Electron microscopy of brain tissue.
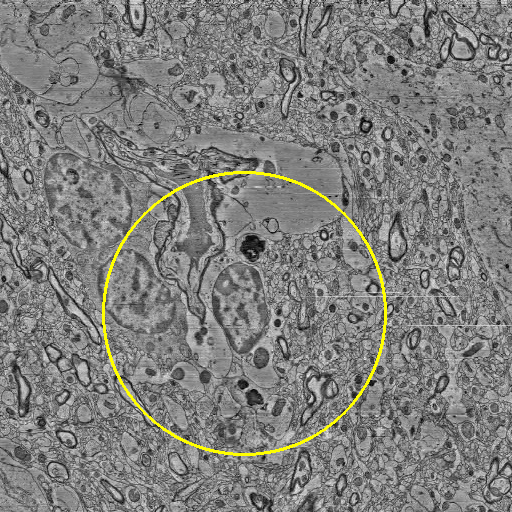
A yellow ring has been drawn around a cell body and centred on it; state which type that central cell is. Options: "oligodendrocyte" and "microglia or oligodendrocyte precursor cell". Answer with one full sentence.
The cell at the middle of the yellow ring is a microglial cell or oligodendrocyte precursor cell in this picture.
